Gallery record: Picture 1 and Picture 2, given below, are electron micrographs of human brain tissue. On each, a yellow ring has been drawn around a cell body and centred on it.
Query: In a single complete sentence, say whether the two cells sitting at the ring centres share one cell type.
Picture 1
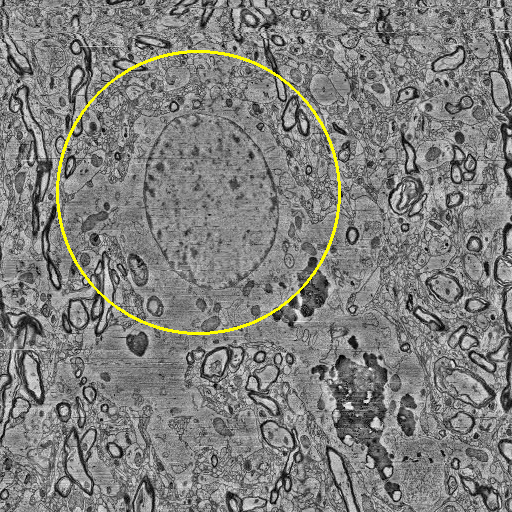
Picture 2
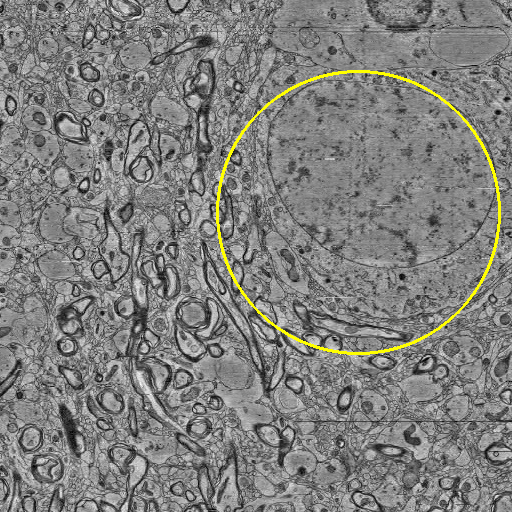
No, in the two pictures the cells at the rings' centres are of two separate types.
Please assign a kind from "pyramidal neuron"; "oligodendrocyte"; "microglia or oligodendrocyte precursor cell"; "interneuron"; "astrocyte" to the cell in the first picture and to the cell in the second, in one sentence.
In the first picture we have an astrocyte, and in the second, a pyramidal neuron.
